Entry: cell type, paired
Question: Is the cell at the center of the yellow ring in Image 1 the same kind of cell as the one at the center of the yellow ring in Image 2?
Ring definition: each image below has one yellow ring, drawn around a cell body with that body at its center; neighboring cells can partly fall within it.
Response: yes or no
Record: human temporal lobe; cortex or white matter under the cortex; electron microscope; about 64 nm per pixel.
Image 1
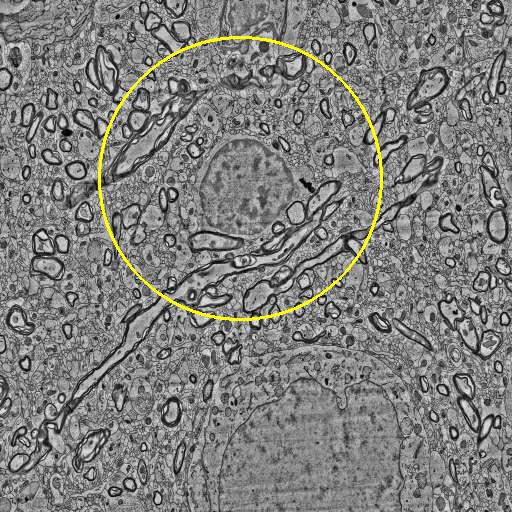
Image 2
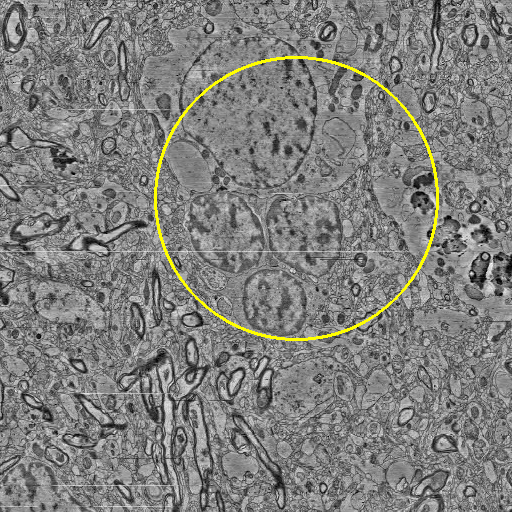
yes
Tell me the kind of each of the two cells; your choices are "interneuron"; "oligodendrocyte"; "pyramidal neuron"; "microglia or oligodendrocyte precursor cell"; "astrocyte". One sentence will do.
Both the first and the second picture show an oligodendrocyte in the ring.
